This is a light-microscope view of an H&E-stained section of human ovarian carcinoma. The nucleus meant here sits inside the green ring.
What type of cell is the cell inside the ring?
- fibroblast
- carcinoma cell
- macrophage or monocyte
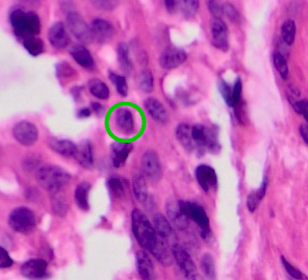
macrophage or monocyte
